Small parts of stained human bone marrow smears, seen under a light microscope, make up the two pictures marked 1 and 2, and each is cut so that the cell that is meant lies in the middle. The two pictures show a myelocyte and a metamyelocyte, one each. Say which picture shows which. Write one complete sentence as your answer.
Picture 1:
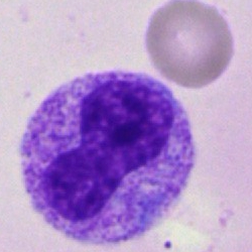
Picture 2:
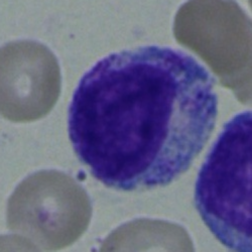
The cell in picture 1 is a metamyelocyte, and the one in picture 2 is a myelocyte.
